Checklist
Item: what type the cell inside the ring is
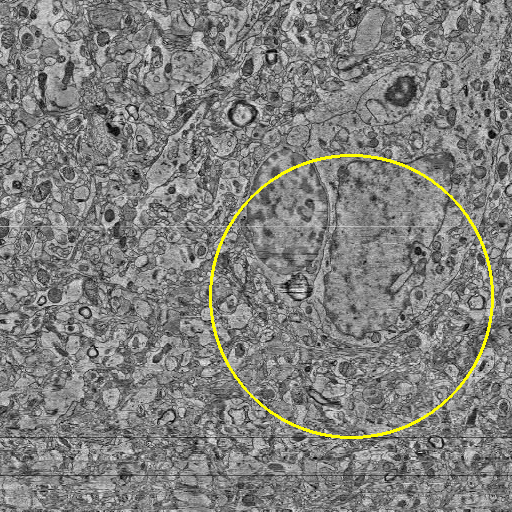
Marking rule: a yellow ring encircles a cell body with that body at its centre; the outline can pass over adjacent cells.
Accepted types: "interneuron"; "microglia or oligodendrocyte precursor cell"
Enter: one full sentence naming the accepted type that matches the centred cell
The entry is that an interneuron lies at the centre of the yellow ring.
